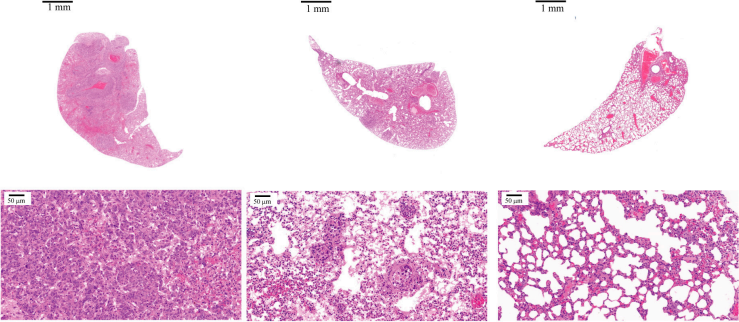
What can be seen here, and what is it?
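Lung sections stained pink and purple are shown as whole-section views above and enlarged fields below. In the leftmost pair the section is solid and dense, and the enlarged field is filled with tightly packed cells with purple nuclei, with no open air spaces visible. In the middle pair the lung keeps many open air spaces, but dense purple-staining cell clusters lie between them. In the rightmost pair the section is mostly open and lacy, and the enlarged field shows thin alveolar walls surrounding empty air spaces. Pink-red areas of blood are seen in larger vessels in the whole-section views.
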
